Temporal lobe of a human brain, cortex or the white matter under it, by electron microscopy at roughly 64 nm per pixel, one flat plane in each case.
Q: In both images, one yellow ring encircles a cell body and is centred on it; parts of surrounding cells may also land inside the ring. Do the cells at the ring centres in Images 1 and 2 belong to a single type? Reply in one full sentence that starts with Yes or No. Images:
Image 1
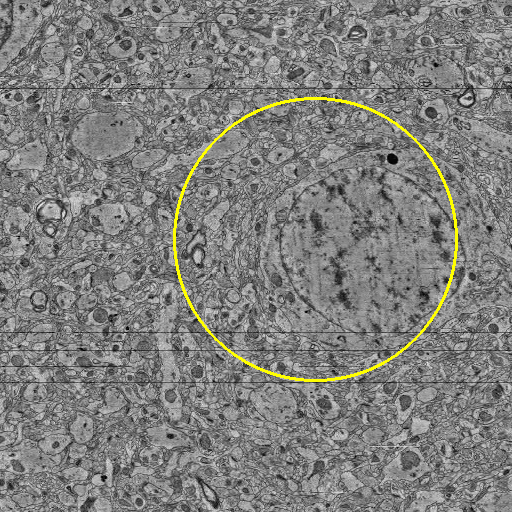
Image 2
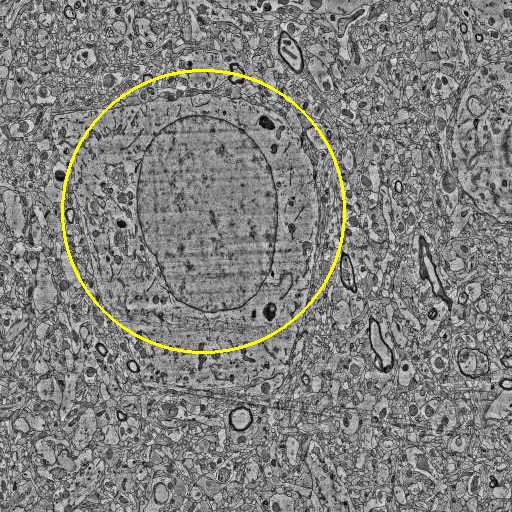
Yes, the cells at the ring centres in Images 1 and 2 are of a single type.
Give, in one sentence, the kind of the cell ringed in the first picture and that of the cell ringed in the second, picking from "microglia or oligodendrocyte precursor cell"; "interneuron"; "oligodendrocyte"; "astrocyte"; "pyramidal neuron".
In each picture the ringed cell is a pyramidal neuron.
